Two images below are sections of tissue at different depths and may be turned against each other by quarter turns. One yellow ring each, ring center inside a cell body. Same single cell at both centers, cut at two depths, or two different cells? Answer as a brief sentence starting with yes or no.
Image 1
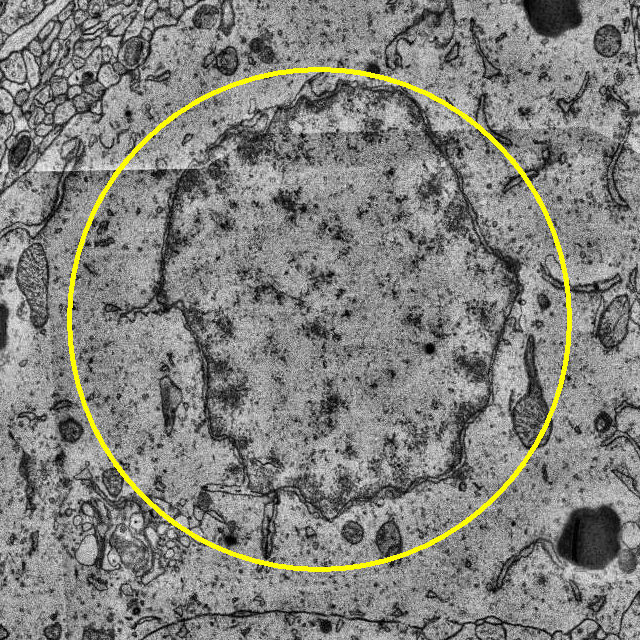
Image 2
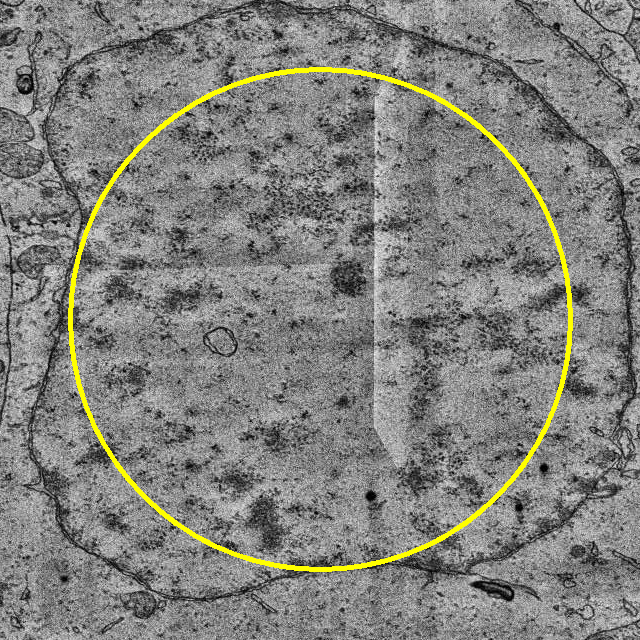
Yes, one and the same cell lies under both rings.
